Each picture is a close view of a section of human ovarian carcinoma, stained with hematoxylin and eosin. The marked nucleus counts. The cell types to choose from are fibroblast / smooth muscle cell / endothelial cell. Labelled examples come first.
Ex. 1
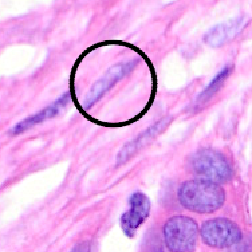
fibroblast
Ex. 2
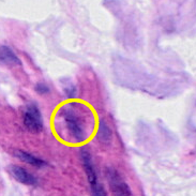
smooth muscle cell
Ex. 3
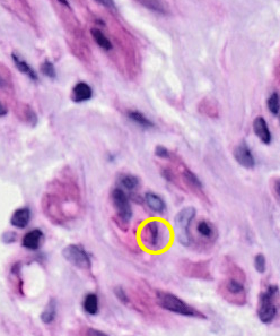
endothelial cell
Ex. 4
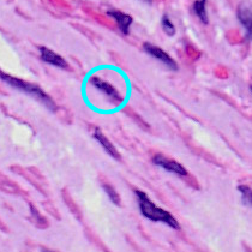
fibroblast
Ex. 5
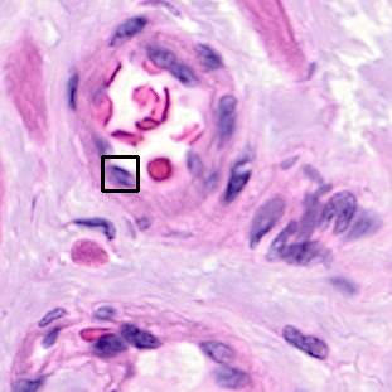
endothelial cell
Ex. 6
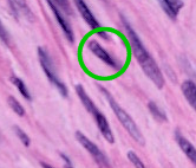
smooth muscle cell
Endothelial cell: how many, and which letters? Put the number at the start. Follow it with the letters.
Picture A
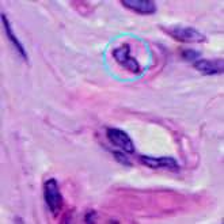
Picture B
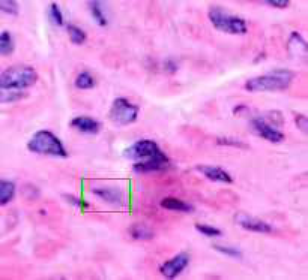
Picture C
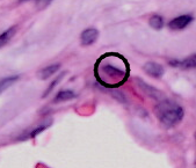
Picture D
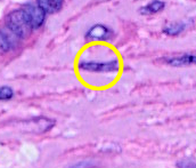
Count: 2 (A, C)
